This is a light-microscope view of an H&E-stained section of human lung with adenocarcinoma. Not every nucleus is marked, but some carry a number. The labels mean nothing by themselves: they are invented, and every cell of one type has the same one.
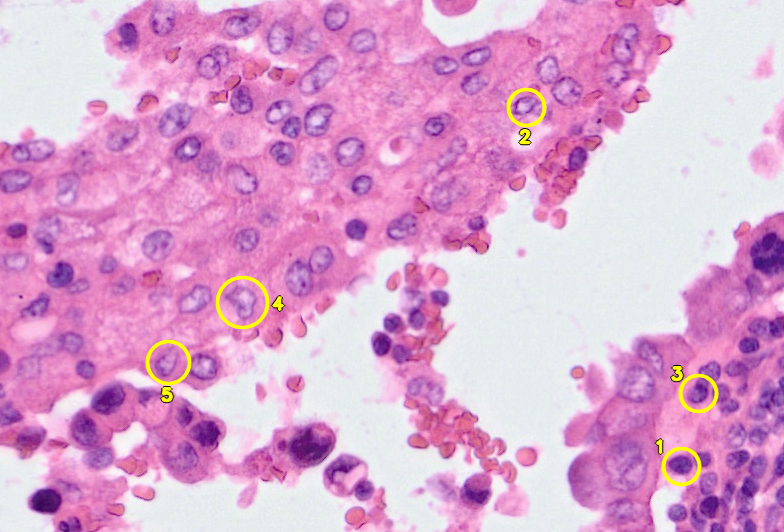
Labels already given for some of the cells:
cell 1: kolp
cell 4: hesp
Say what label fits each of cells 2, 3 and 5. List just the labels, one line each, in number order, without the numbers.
hesp
kolp
hesp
